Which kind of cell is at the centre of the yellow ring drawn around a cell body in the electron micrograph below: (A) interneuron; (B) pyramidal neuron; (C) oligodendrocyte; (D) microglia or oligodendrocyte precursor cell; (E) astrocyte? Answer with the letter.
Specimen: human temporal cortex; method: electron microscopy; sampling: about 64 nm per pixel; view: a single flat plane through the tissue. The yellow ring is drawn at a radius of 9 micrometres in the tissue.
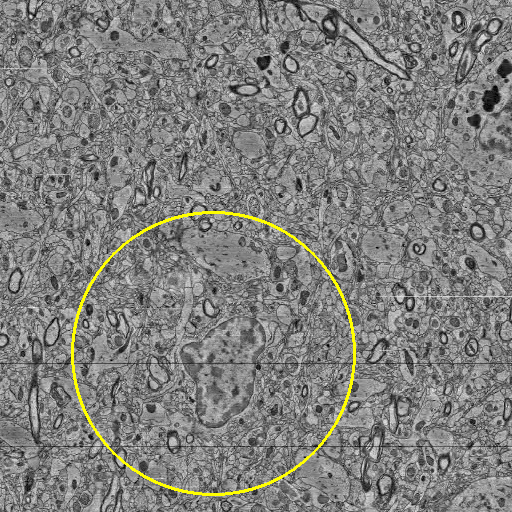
D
